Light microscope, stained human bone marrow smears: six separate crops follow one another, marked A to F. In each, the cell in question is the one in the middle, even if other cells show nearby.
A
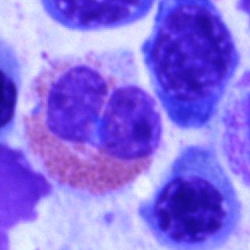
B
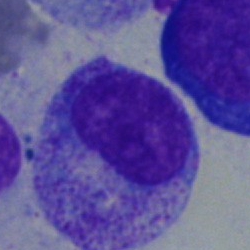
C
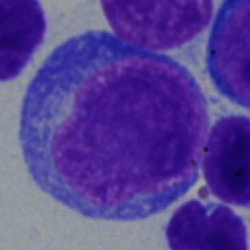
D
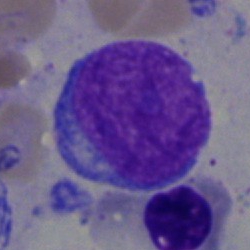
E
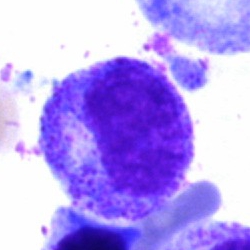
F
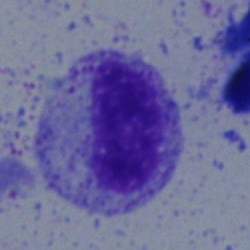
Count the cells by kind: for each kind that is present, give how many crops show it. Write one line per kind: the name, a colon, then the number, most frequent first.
myelocyte: 3
blast: 2
eosinophil: 1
